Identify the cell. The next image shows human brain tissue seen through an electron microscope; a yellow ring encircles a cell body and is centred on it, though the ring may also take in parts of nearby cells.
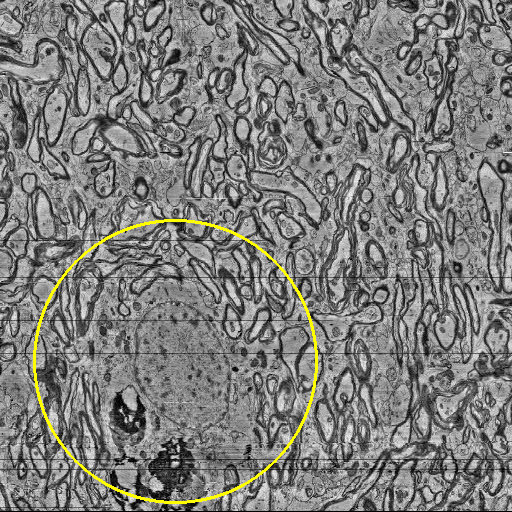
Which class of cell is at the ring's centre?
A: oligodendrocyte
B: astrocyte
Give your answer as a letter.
B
